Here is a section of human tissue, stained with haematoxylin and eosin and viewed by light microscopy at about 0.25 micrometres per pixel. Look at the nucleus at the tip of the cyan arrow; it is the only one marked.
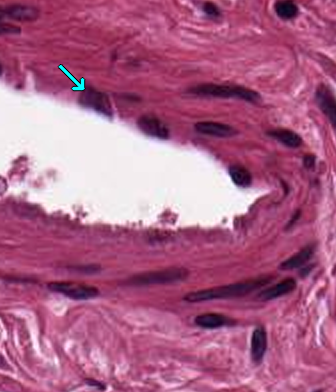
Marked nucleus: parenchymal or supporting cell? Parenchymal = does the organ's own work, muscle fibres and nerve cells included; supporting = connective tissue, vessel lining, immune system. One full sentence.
In the section shown, the marked nucleus belongs to a supporting cell.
